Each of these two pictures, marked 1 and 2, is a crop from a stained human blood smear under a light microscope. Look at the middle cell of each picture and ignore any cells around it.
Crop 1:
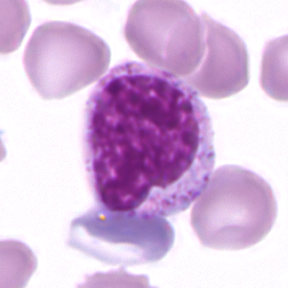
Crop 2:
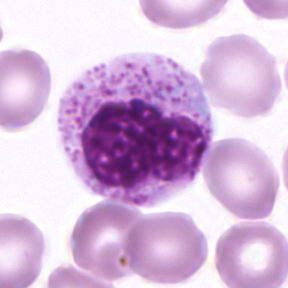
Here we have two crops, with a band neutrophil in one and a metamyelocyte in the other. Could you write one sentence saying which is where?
The middle cell in crop 1 is a metamyelocyte; the middle cell in crop 2 is a band neutrophil.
